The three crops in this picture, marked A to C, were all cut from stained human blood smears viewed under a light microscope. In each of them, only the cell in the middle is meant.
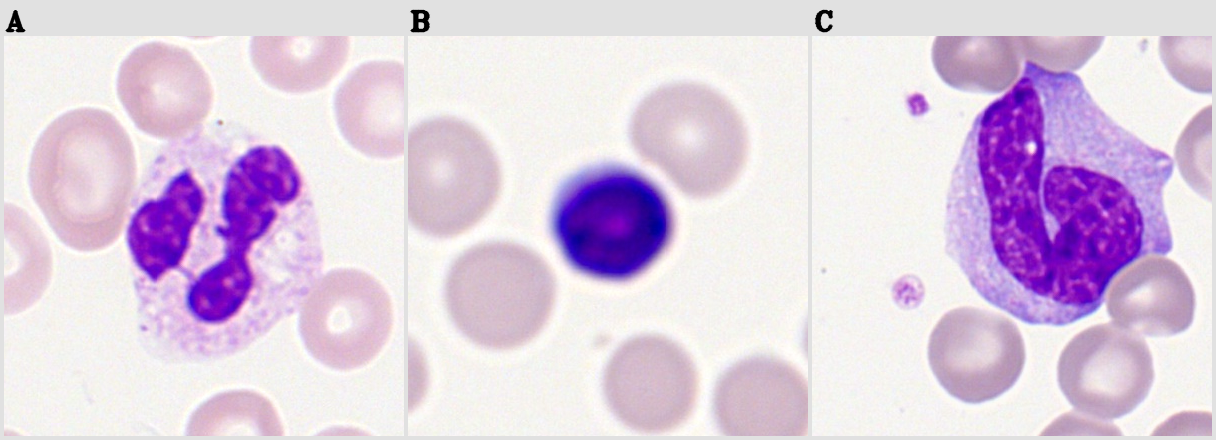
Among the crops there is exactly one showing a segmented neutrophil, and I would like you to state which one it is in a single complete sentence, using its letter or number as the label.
The crop with a segmented neutrophil in it is crop A.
